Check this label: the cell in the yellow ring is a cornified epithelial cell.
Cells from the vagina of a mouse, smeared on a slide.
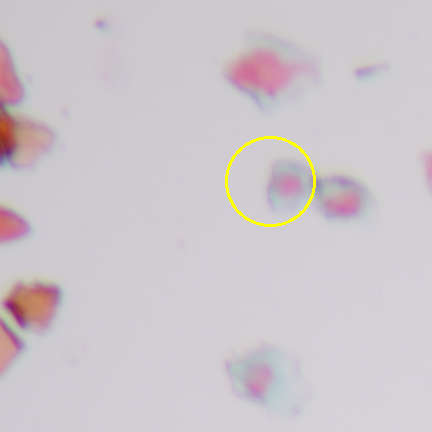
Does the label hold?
The label does not hold; the cell is a nucleated epithelial cell.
